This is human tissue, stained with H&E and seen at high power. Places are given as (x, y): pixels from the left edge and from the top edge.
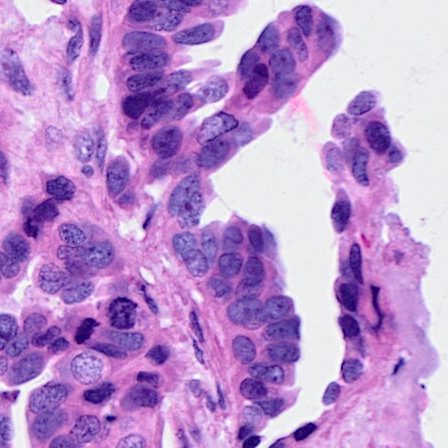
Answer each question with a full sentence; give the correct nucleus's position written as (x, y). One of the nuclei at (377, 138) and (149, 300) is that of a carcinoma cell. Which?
The nucleus of a carcinoma cell is the one at (377, 138).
